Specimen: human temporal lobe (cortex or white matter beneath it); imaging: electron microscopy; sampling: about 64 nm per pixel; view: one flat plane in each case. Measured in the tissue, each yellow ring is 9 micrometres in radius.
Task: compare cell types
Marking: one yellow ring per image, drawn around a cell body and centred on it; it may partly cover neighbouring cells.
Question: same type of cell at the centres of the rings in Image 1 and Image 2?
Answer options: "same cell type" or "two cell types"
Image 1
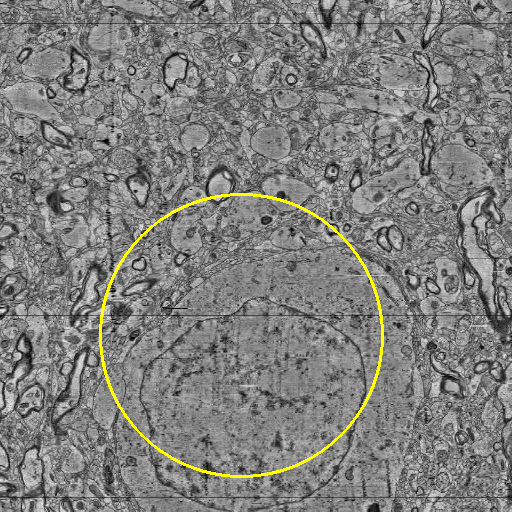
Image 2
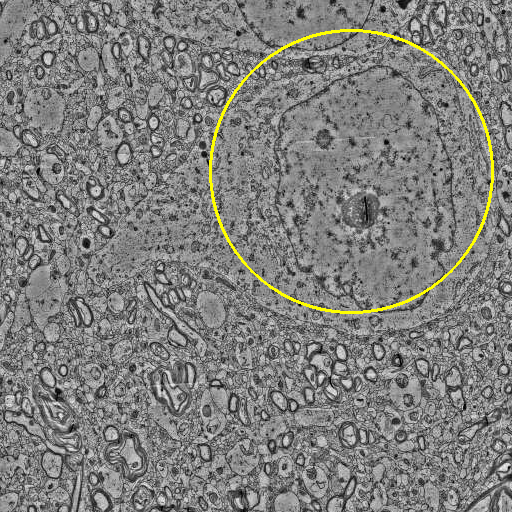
same cell type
